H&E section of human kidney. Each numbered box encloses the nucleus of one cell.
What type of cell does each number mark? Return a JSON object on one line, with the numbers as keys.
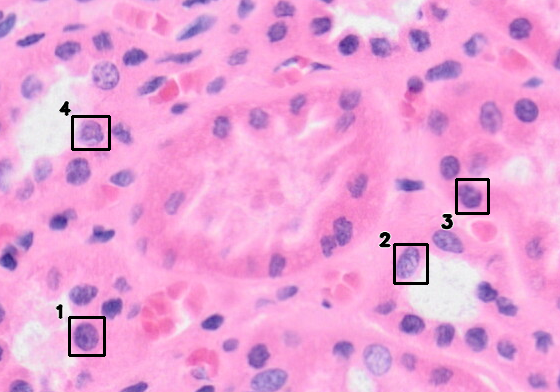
{"1": "loop of Henle or distal tubule cell", "2": "loop of Henle or distal tubule cell", "3": "proximal tubule cell", "4": "loop of Henle or distal tubule cell"}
